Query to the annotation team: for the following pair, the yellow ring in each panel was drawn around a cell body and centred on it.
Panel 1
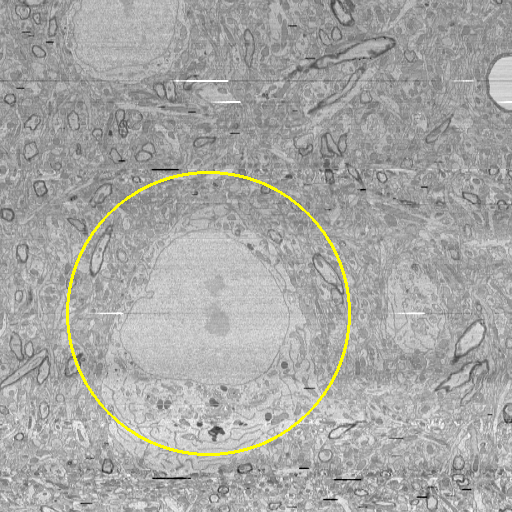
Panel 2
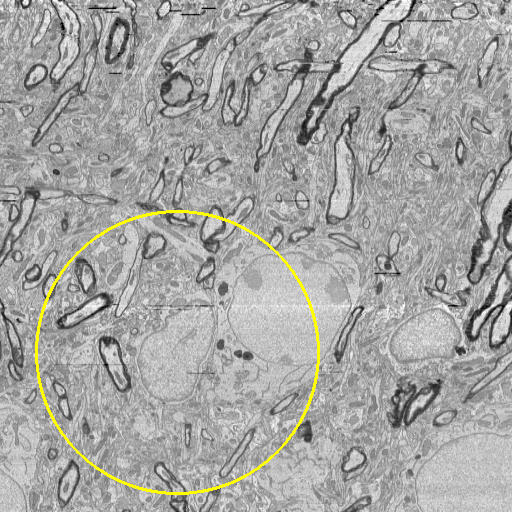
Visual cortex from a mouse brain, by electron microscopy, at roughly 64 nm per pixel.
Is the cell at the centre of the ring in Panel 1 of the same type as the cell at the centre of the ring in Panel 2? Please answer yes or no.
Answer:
no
